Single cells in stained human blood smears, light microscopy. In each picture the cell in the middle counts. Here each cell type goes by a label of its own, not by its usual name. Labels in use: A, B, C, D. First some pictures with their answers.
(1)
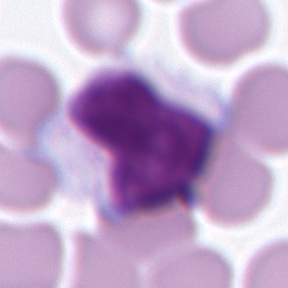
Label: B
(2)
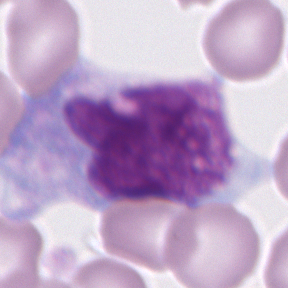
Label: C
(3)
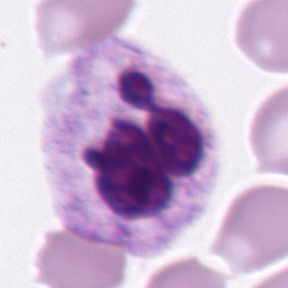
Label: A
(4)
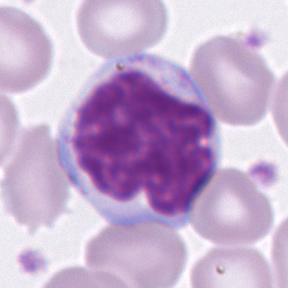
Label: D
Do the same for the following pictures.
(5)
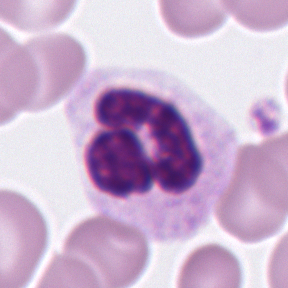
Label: A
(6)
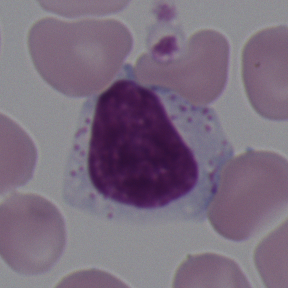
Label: D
